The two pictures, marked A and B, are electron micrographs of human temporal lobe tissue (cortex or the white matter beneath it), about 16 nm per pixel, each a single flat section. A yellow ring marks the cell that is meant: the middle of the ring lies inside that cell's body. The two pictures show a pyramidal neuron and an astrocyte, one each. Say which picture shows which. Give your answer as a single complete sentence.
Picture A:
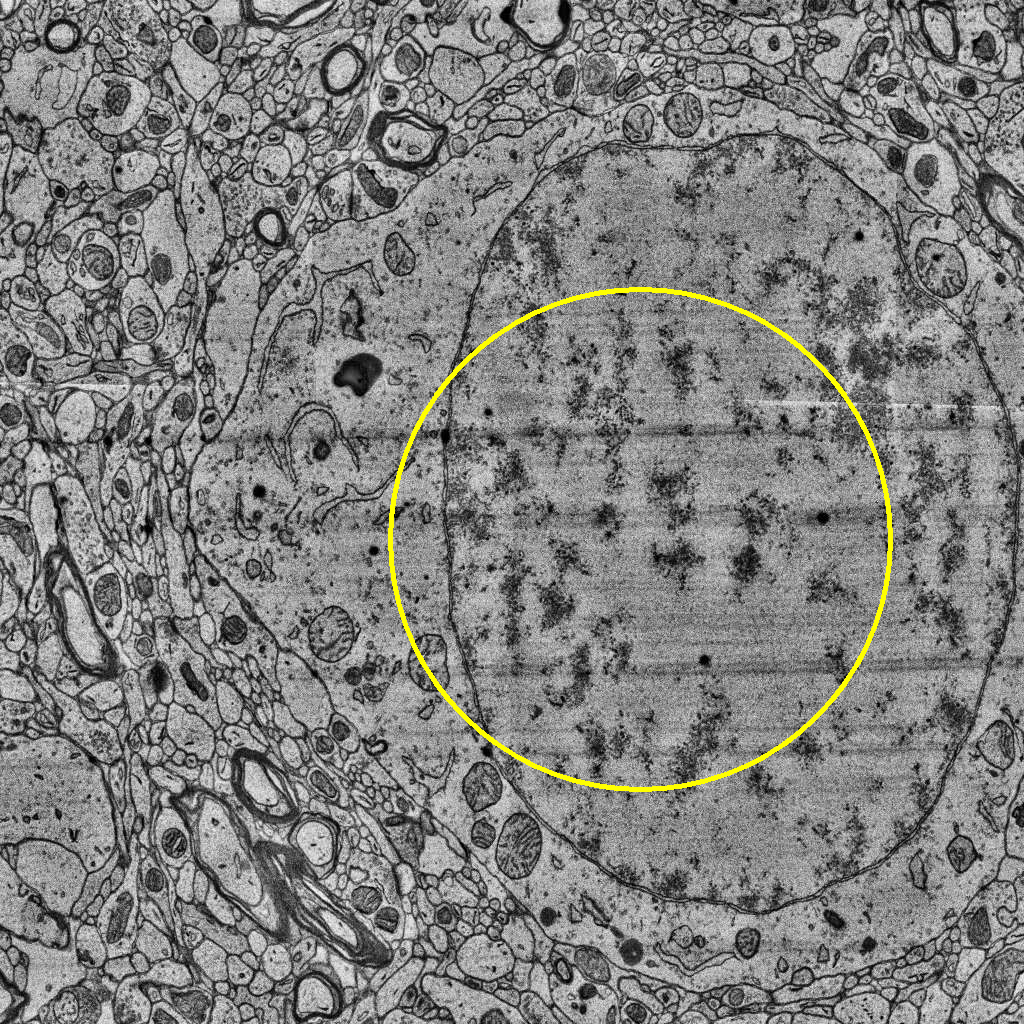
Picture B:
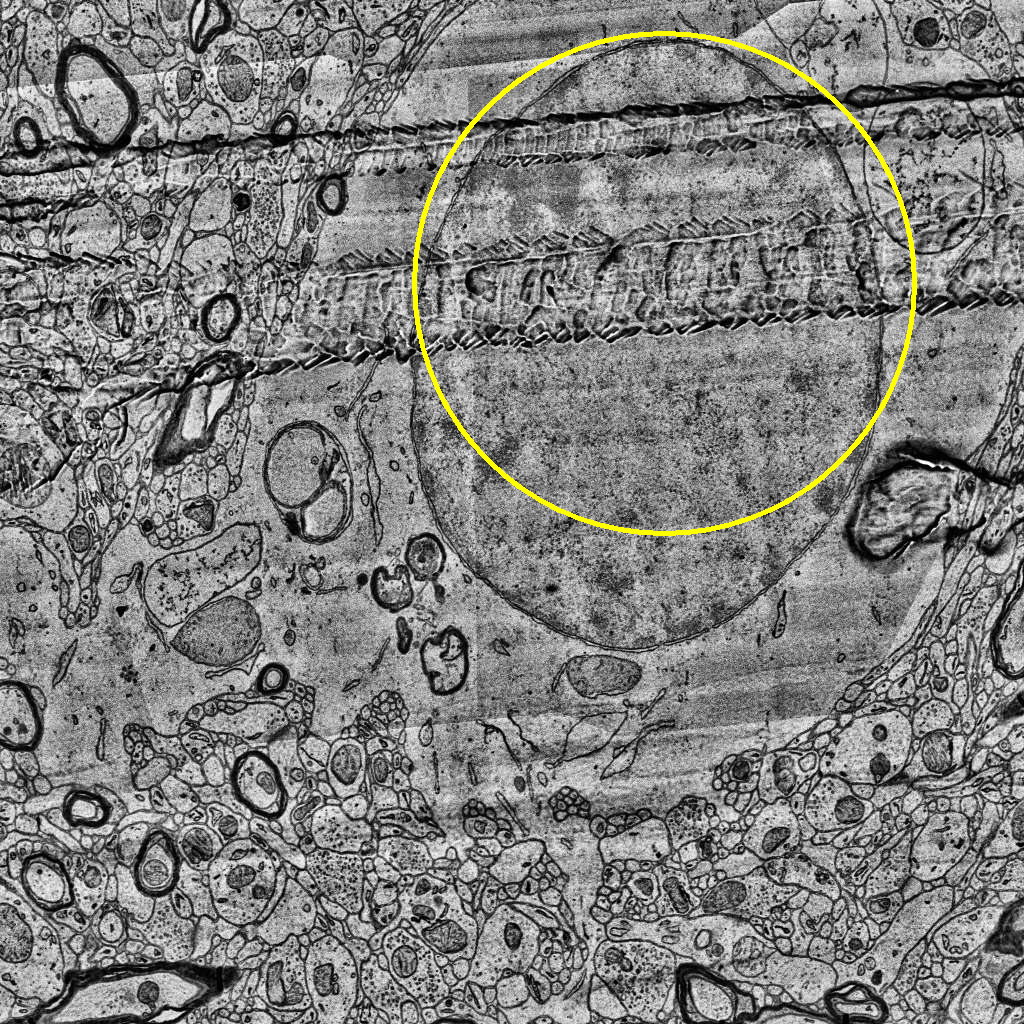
The cell in picture A is a pyramidal neuron, and the one in picture B is an astrocyte.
